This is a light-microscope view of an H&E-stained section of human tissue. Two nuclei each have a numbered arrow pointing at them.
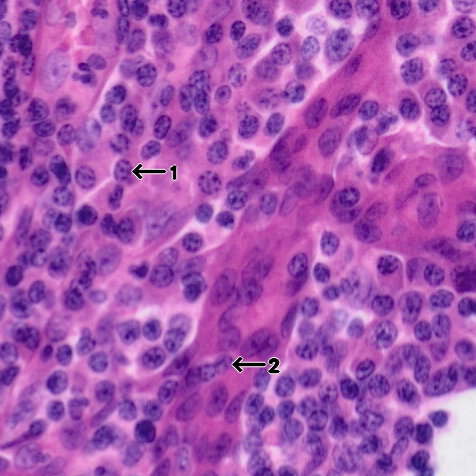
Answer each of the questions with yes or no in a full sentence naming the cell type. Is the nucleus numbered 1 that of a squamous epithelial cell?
No, in terms of cell type, cell 1 is a plasma cell, not a squamous epithelial cell.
